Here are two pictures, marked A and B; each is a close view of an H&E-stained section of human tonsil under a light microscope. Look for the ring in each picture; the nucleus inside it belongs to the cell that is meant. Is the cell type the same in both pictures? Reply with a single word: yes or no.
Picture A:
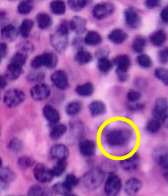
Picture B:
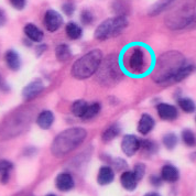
no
